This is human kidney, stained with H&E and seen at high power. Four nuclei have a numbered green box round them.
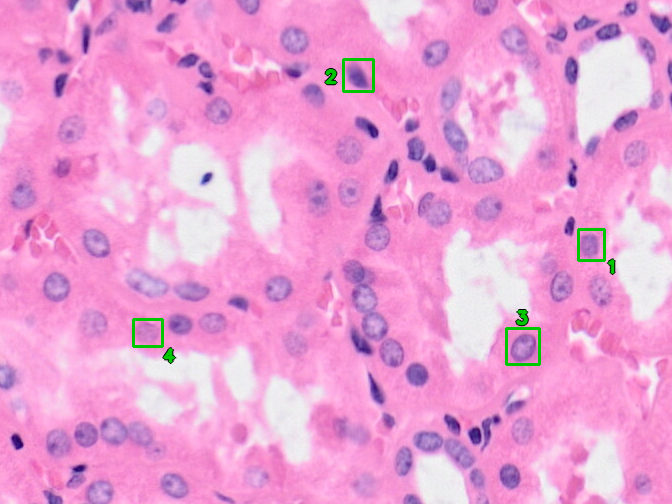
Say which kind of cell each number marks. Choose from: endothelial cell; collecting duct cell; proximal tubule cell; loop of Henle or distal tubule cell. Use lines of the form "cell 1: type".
cell 1: proximal tubule cell
cell 2: endothelial cell
cell 3: proximal tubule cell
cell 4: proximal tubule cell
